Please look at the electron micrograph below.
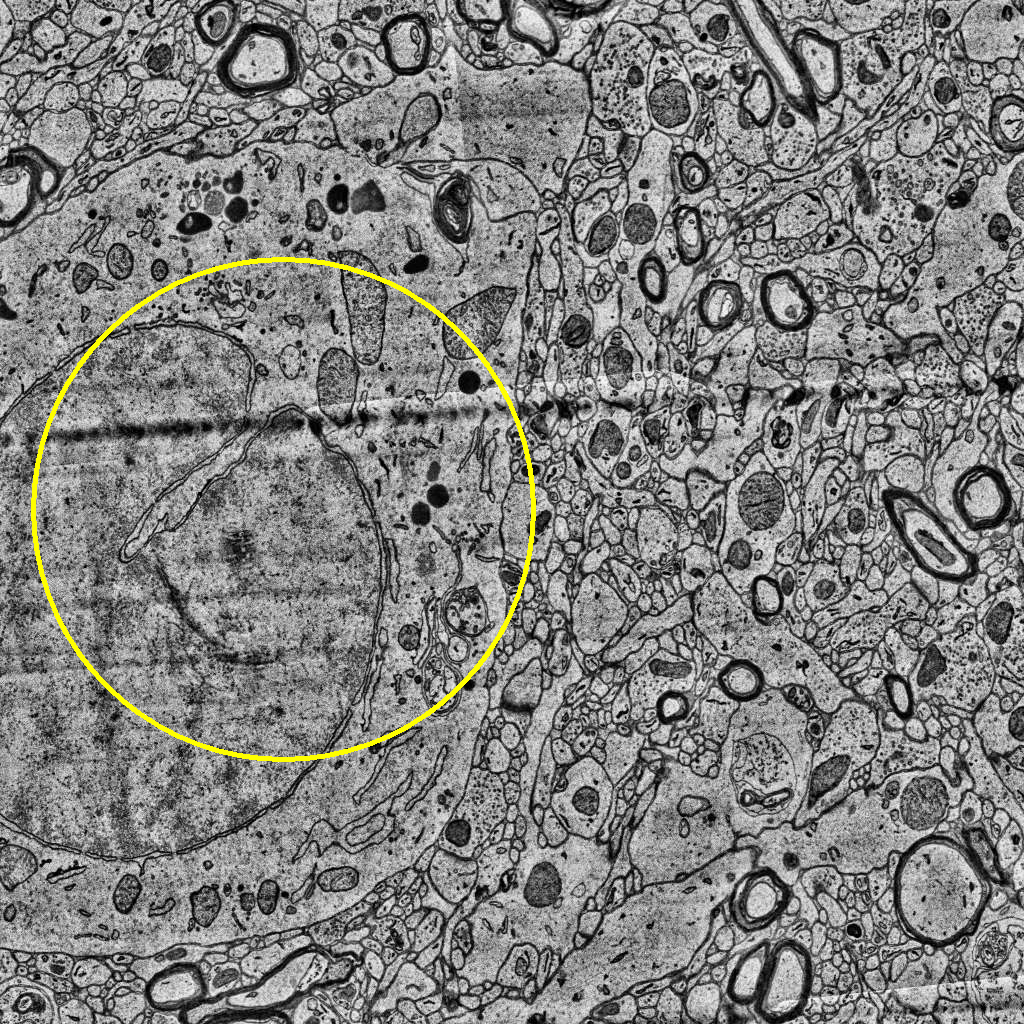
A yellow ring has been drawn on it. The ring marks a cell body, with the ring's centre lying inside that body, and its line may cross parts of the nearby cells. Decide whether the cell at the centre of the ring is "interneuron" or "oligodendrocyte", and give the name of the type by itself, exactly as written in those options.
interneuron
